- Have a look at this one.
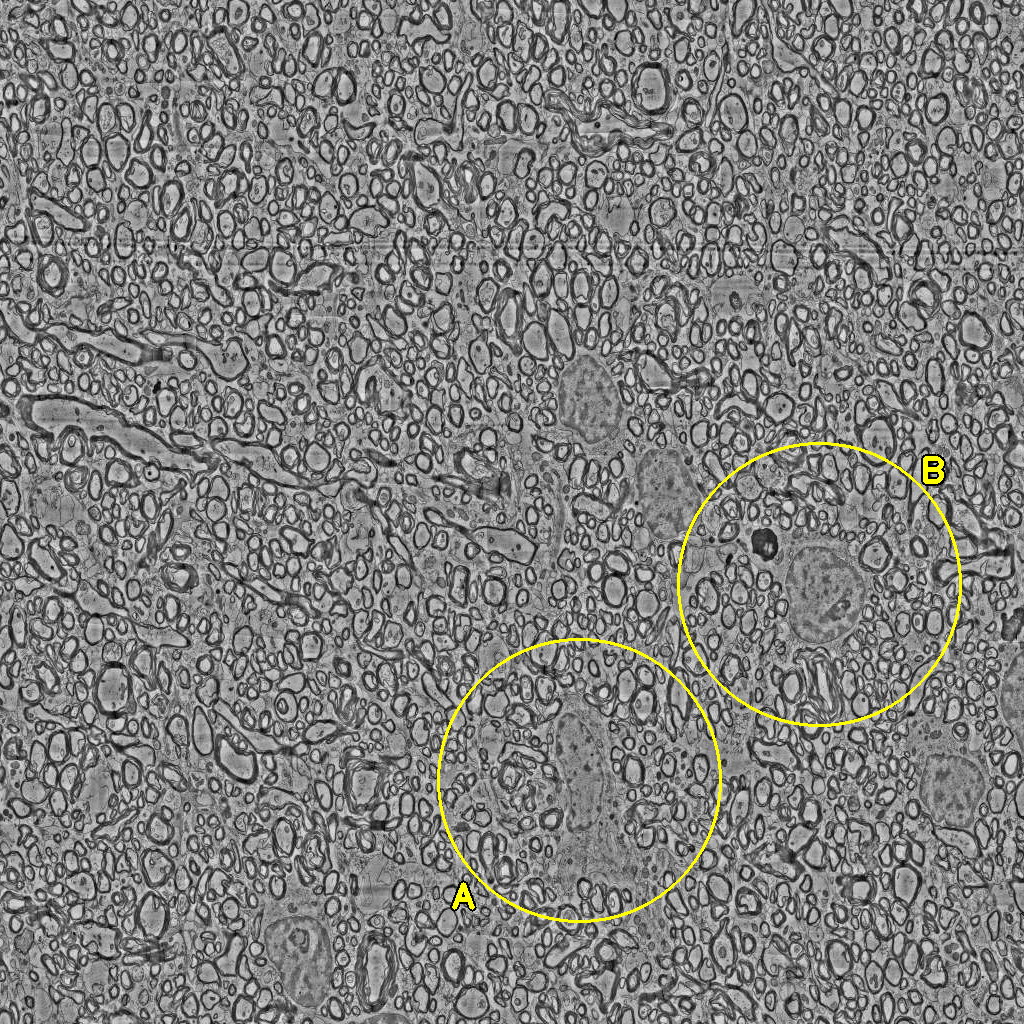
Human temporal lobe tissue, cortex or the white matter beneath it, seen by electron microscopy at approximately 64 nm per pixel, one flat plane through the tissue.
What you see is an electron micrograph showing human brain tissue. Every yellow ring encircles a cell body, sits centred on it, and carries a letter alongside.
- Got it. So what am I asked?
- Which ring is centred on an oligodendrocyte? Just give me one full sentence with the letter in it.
The cell asked for sits in the centre of the ring lettered B.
